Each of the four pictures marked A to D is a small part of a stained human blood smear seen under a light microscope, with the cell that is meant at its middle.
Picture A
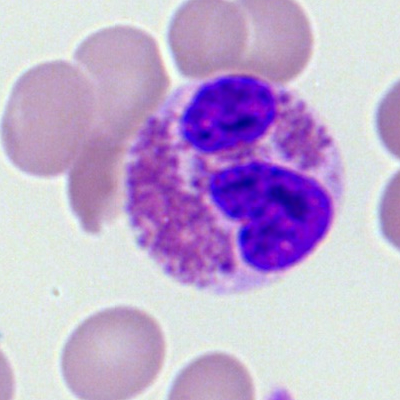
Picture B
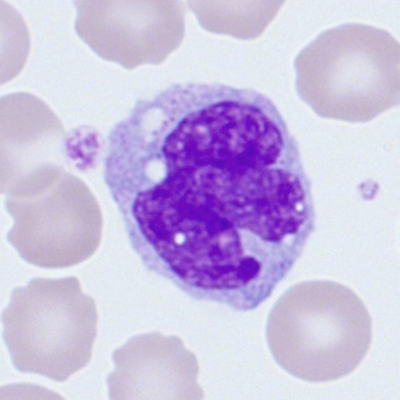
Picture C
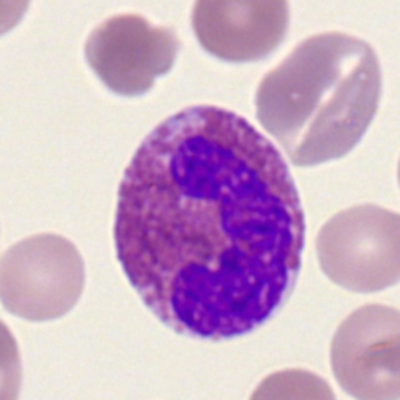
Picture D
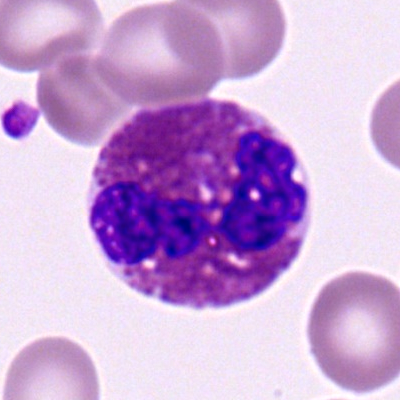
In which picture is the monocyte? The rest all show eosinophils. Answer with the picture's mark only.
B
